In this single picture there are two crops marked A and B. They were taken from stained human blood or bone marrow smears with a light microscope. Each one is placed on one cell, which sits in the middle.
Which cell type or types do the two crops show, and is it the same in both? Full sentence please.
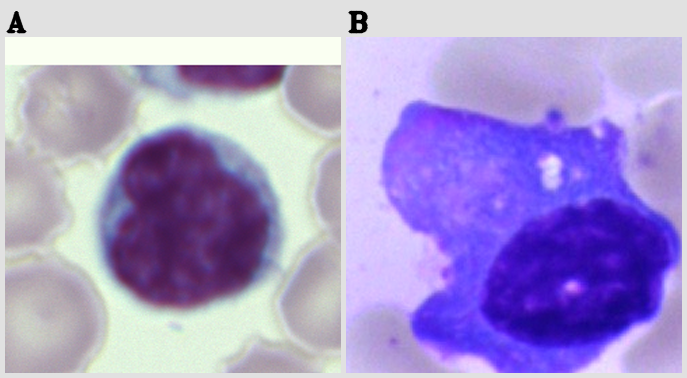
No, it is a lymphocyte that crop A shows, and a plasma cell that crop B shows.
